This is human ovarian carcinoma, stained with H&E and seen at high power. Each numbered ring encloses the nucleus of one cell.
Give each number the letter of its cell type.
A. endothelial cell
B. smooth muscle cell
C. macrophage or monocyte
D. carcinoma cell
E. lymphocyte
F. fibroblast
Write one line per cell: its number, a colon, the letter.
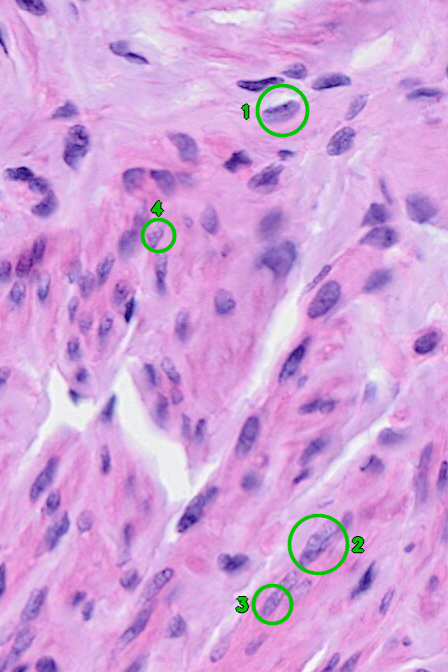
1: F
2: B
3: B
4: B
